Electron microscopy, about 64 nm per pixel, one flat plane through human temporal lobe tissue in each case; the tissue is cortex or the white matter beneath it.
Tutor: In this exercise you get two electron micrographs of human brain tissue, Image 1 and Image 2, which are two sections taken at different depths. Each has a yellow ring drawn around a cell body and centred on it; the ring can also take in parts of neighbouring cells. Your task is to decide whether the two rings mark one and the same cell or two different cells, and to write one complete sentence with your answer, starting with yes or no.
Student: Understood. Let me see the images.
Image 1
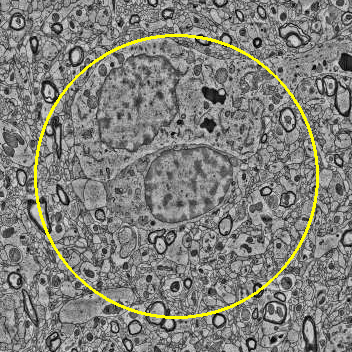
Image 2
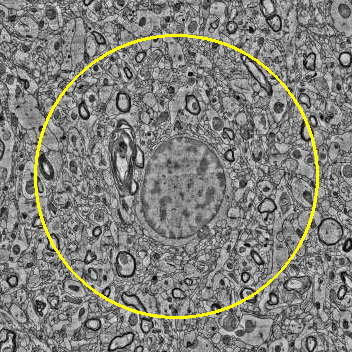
No, a different cell sits inside each of the two rings.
